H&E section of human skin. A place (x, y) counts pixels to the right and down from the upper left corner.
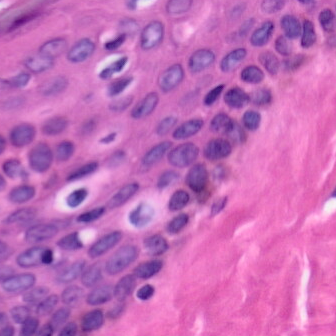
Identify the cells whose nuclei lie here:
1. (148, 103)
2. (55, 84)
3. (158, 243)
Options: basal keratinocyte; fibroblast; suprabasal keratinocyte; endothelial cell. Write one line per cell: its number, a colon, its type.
1: suprabasal keratinocyte
2: suprabasal keratinocyte
3: basal keratinocyte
